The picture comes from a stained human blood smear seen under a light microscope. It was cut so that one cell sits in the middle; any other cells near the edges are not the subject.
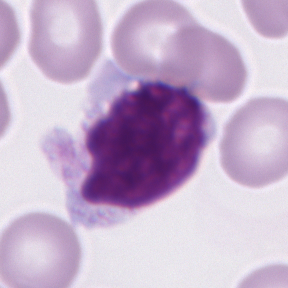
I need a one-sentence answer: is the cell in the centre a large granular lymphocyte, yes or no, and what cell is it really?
Yes, the cell lying in the middle is a large granular lymphocyte.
